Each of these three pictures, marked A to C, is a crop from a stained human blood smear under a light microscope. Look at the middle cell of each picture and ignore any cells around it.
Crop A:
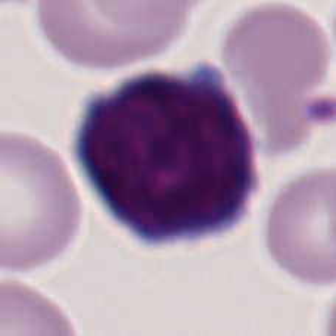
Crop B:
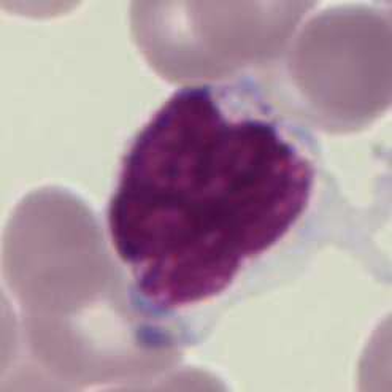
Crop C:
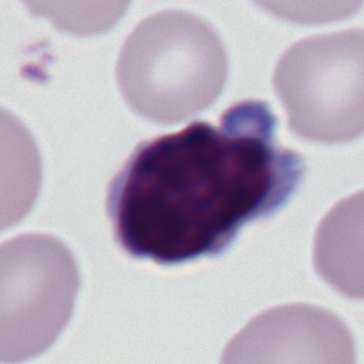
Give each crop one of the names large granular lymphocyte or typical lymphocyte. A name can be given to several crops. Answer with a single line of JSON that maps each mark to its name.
{"A": "typical lymphocyte", "B": "large granular lymphocyte", "C": "typical lymphocyte"}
